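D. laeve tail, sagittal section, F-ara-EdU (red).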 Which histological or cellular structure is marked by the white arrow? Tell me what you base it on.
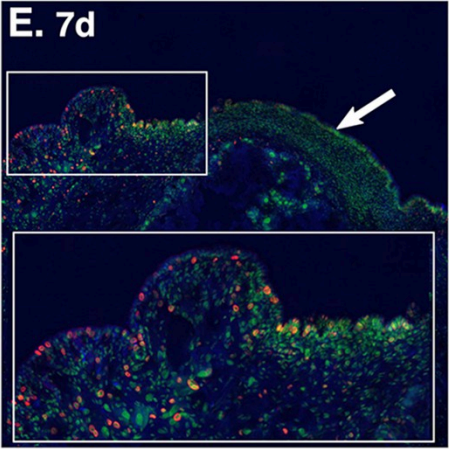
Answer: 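Blastema. The arrow points to a dome of densely packed cells bulging from the tissue edge.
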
